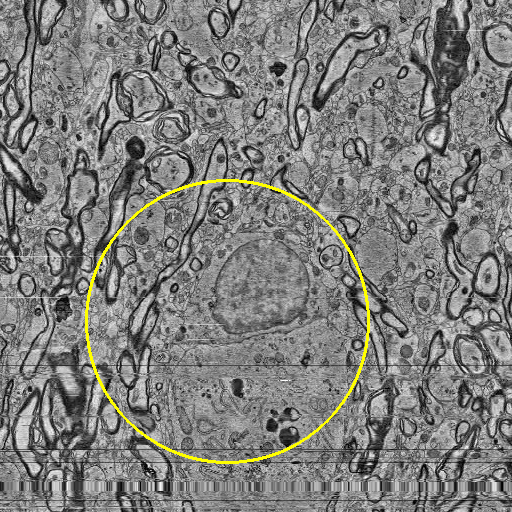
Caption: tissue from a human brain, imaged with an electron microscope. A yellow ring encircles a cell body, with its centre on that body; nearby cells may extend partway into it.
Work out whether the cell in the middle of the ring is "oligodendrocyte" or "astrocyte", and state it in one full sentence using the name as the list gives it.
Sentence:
In the picture, the cell that the yellow ring surrounds at its centre is an oligodendrocyte.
